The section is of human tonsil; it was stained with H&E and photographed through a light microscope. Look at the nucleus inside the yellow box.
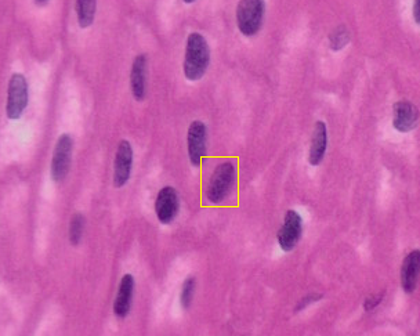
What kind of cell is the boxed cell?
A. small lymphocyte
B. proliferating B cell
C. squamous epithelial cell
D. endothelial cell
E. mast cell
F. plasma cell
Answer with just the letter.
C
